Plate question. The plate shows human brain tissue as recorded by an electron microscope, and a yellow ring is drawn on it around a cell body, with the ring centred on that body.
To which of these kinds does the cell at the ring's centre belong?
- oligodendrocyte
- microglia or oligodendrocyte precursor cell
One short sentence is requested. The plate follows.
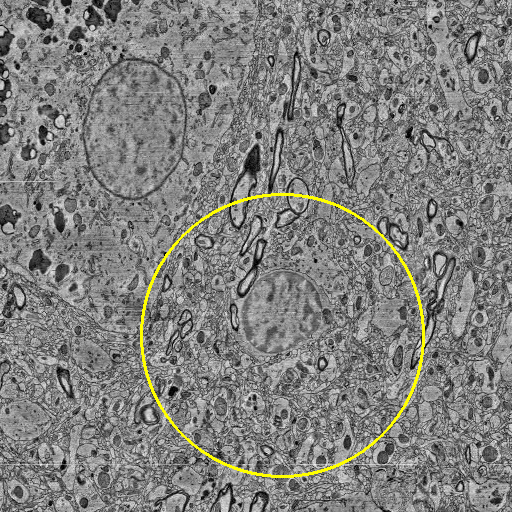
The cell at the ring's centre is an oligodendrocyte.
